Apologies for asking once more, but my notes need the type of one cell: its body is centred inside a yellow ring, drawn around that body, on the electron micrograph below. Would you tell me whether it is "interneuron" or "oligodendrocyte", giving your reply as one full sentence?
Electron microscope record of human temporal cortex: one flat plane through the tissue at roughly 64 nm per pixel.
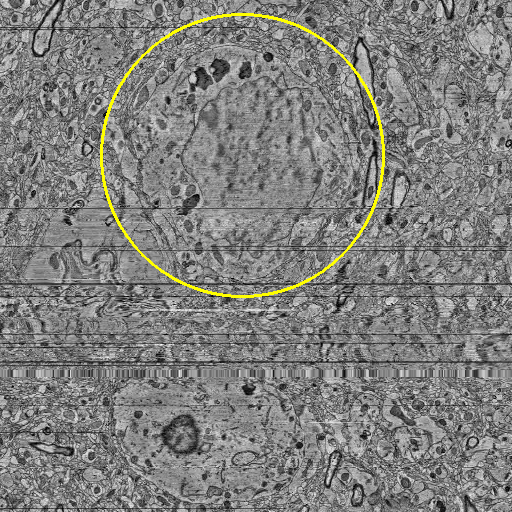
The cell that the yellow ring is centred on is an interneuron in this micrograph.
